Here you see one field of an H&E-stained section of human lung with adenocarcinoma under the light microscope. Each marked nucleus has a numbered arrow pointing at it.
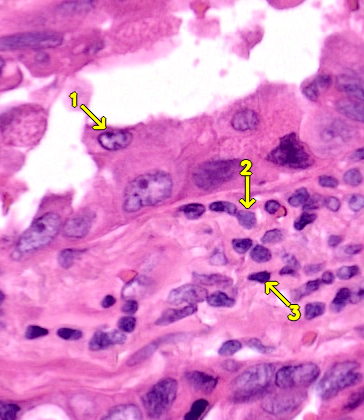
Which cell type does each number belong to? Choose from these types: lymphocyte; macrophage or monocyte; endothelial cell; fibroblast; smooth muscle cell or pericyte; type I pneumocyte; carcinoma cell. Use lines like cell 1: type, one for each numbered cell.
cell 1: macrophage or monocyte
cell 2: lymphocyte
cell 3: lymphocyte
